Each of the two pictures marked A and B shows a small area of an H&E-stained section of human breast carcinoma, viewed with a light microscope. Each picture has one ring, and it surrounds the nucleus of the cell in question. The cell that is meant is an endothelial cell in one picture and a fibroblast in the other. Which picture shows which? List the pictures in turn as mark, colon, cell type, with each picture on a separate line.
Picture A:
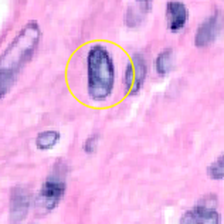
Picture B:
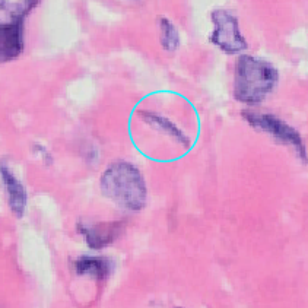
A: endothelial cell
B: fibroblast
